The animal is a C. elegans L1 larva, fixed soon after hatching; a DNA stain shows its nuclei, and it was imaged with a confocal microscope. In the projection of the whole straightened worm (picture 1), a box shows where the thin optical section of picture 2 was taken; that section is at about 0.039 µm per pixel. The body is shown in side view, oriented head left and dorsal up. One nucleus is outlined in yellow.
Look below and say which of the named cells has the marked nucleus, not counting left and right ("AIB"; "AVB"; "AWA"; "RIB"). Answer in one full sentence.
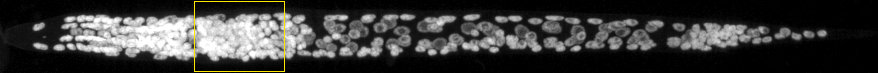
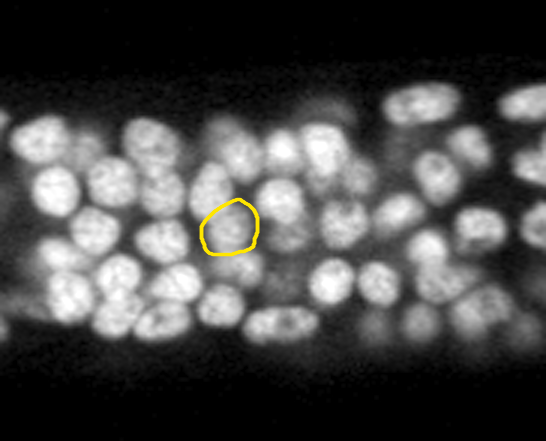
It belongs to RIB, a neuron.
